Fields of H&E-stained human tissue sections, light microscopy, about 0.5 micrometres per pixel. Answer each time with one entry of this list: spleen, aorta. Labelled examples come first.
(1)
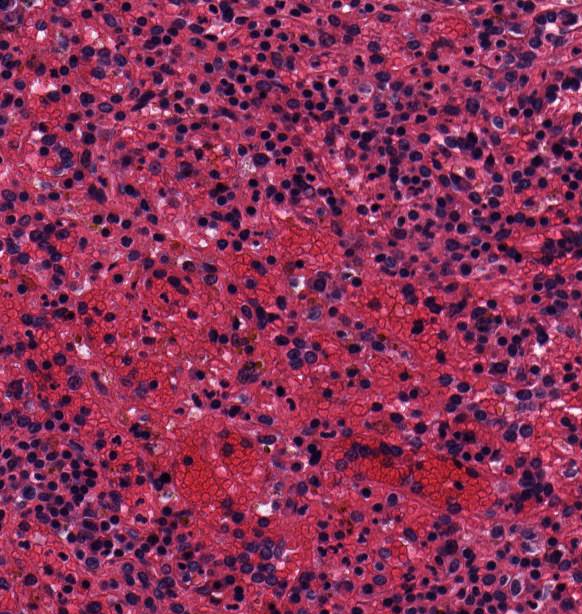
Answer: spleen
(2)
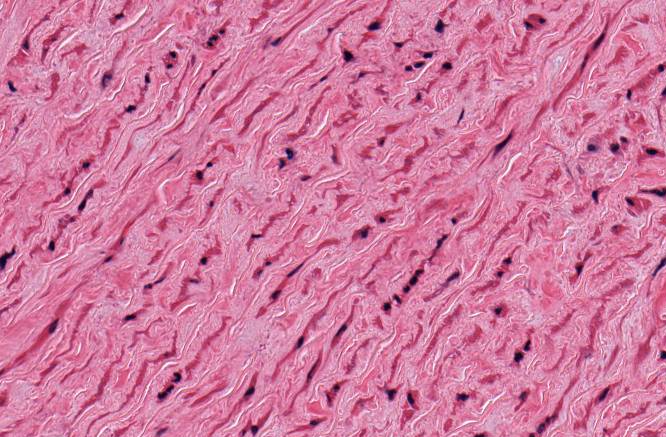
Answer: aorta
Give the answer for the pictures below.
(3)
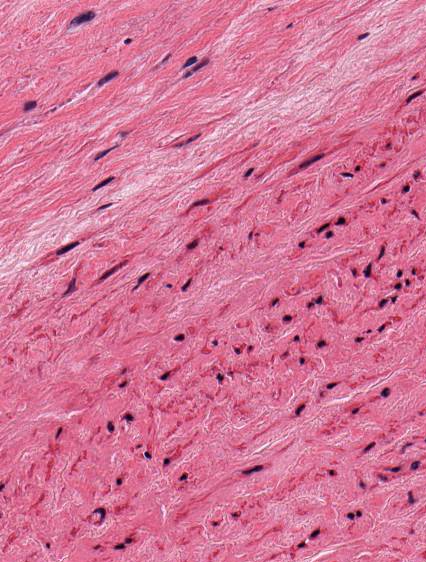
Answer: aorta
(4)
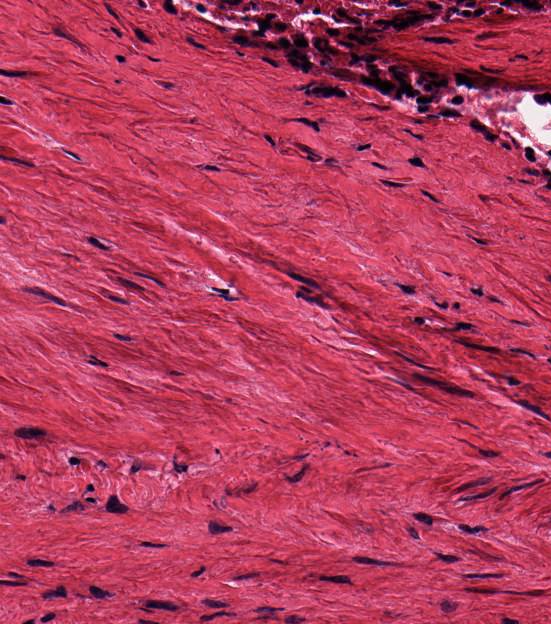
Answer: spleen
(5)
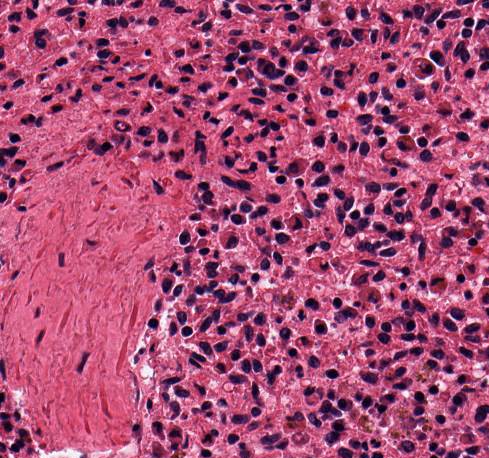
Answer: spleen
